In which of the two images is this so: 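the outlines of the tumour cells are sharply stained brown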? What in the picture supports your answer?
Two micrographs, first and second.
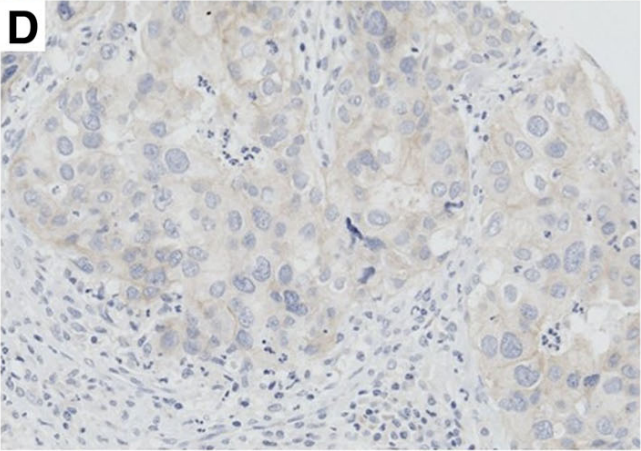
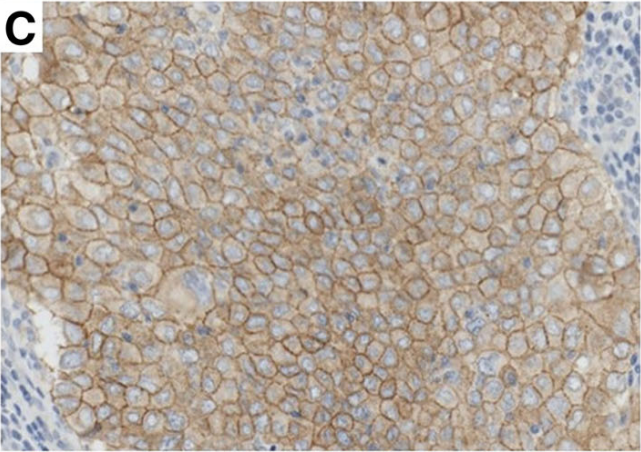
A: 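The second image. First image: tumour cells show only faint diffuse tan tint with no distinct brown cell borders. Second image: nearly every tumour cell is outlined by a sharp dark brown line.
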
